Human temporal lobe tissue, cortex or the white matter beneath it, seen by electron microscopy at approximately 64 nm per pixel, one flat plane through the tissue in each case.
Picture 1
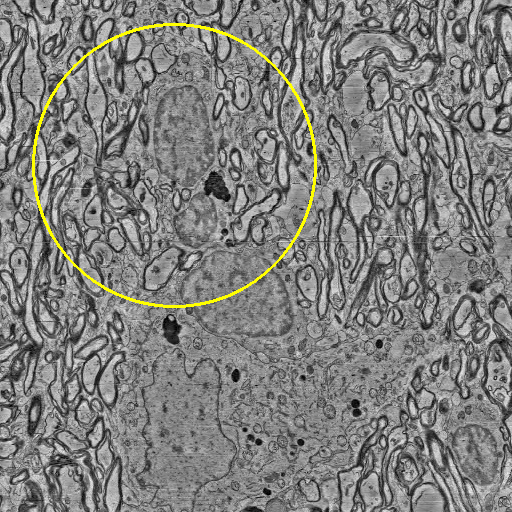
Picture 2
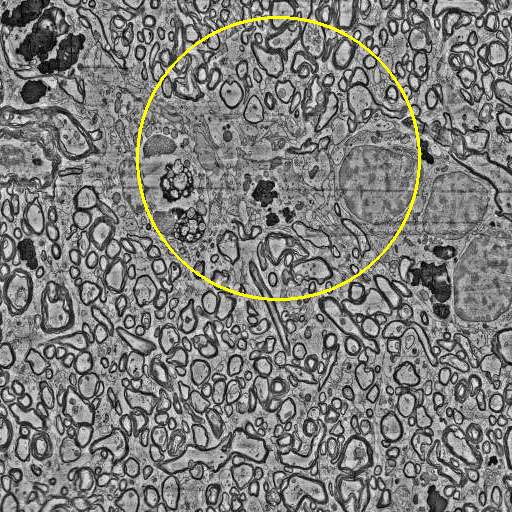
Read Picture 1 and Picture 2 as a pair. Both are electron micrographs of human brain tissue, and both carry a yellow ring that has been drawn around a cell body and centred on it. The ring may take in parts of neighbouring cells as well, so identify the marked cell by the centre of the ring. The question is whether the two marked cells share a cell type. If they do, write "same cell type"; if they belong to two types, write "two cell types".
same cell type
